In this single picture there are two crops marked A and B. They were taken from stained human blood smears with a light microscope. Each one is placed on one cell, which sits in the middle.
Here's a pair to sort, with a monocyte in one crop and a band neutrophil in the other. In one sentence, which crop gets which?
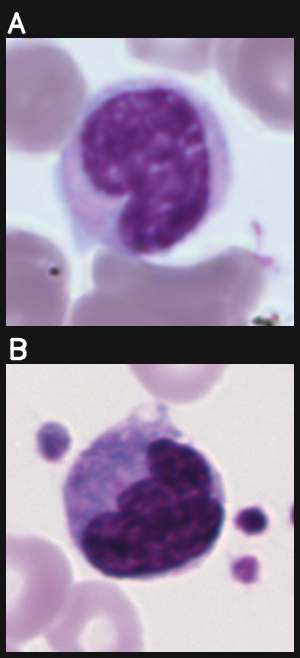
Crop A represents a band neutrophil, while crop B represents a monocyte.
